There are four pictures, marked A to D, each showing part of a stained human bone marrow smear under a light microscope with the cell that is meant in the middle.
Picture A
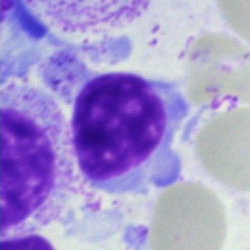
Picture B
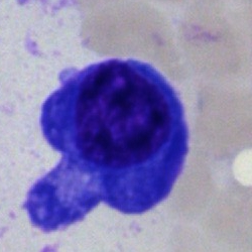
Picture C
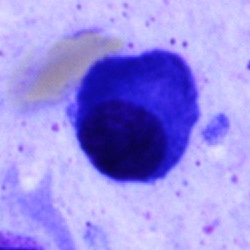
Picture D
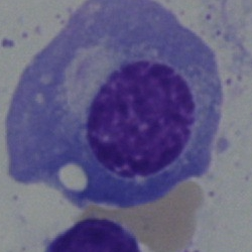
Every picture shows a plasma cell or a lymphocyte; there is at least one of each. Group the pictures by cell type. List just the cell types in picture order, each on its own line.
lymphocyte
plasma cell
plasma cell
plasma cell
